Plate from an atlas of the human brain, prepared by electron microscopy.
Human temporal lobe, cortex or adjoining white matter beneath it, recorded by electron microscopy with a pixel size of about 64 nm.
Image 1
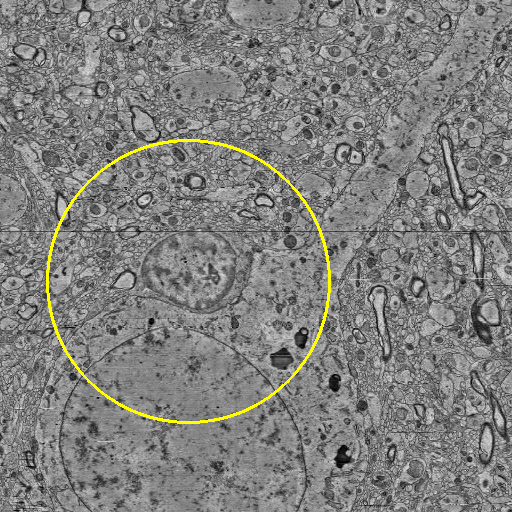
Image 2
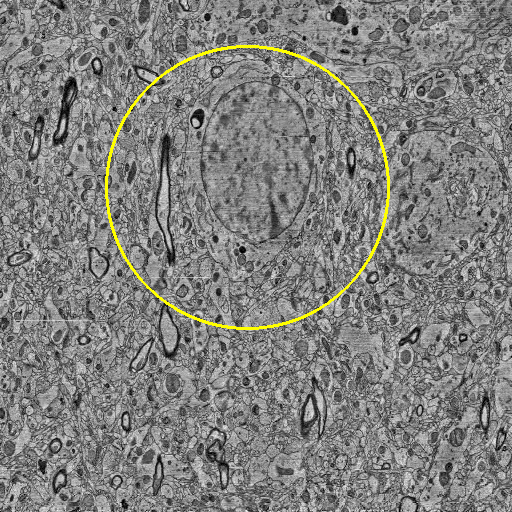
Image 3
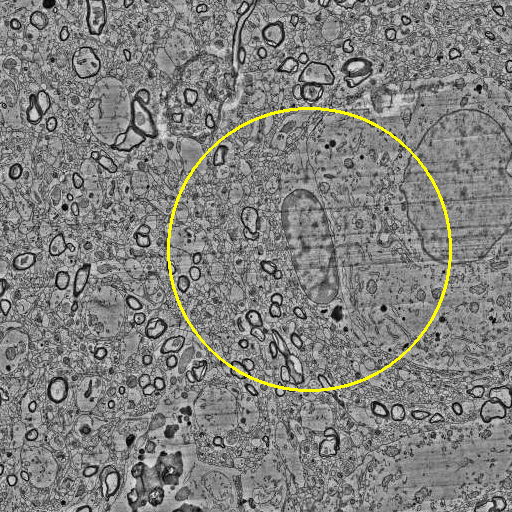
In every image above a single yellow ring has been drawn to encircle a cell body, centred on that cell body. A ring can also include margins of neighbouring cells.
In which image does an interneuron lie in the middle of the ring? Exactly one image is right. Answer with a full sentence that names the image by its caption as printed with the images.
Image 2 holds the requested cell at the very centre of its ring.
